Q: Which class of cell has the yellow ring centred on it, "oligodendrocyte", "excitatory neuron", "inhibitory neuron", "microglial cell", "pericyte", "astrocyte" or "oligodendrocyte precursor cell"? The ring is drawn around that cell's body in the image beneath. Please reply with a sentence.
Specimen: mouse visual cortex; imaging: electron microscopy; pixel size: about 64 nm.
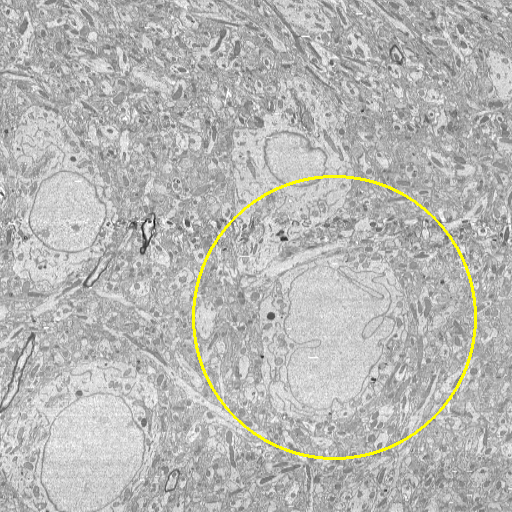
It is centred on an inhibitory neuron.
